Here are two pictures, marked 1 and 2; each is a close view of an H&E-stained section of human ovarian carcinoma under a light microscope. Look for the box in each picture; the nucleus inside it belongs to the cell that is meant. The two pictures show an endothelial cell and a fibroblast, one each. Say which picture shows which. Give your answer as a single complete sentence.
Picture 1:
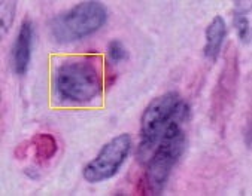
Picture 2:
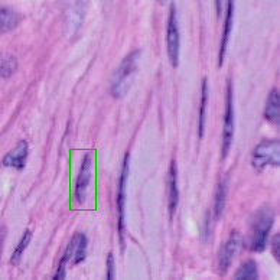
In picture 1 the cell is an endothelial cell; in picture 2, a fibroblast.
